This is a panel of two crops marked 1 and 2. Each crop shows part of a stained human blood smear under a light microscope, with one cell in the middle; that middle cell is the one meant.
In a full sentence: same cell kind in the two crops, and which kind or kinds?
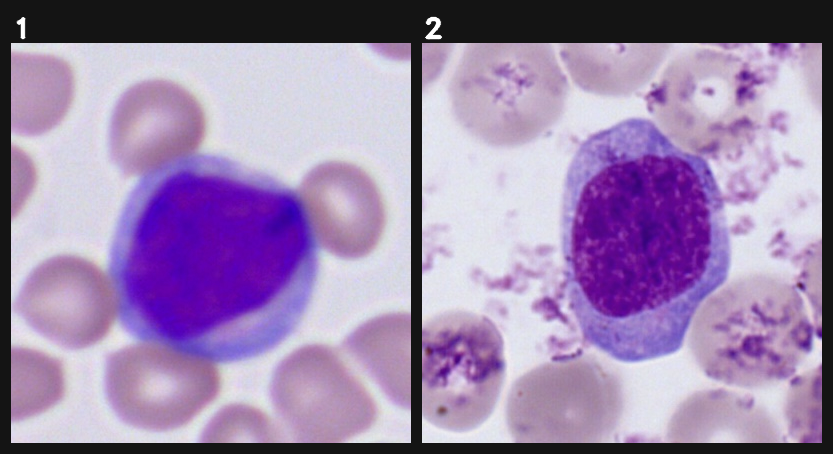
Yes, in the two crops, myeloblasts are the cells at the centre.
